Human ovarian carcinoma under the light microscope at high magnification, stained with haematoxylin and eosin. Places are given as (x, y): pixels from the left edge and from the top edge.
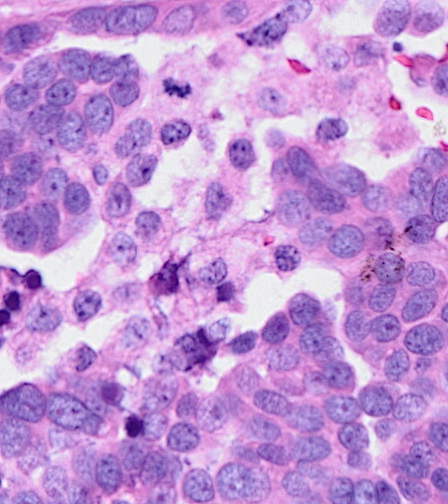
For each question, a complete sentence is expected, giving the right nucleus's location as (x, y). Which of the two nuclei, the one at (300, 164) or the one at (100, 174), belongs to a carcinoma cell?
The nucleus at (300, 164) belongs to a carcinoma cell, which distinguishes it from the other nucleus.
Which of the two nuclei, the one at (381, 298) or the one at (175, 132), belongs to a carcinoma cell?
The nucleus belonging to a carcinoma cell is the one at (381, 298).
